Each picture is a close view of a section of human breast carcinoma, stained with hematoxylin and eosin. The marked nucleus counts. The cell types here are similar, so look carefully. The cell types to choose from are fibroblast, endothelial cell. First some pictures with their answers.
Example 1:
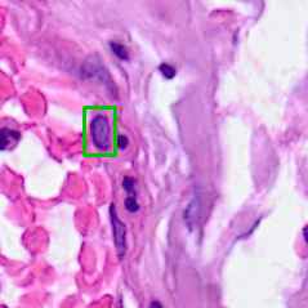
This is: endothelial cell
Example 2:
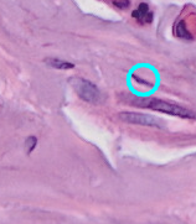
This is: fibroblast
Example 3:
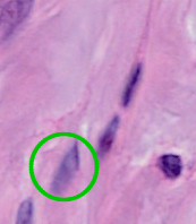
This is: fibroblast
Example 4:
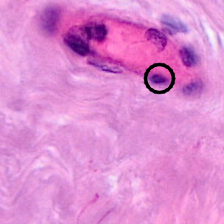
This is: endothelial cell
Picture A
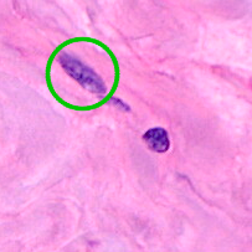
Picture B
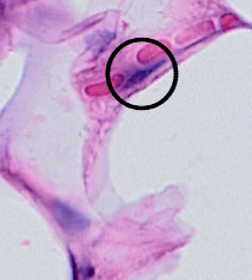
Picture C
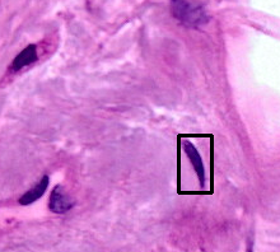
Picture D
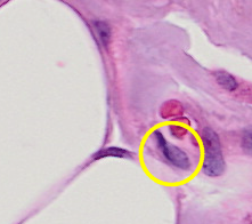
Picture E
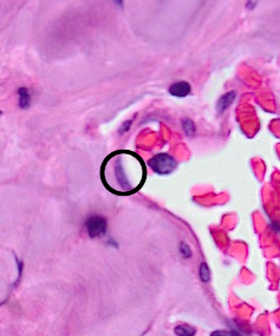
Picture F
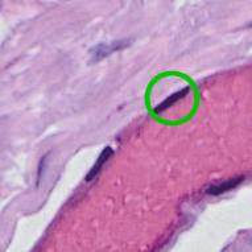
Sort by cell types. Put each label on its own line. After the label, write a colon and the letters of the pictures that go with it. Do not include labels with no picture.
fibroblast: A, C
endothelial cell: B, D, E, F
